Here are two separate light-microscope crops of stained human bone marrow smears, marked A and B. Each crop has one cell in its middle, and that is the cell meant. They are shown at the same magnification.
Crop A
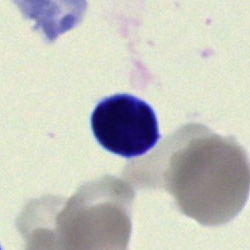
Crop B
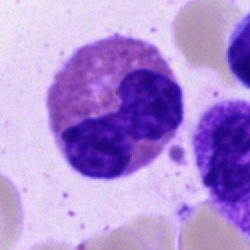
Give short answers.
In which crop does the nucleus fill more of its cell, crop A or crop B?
A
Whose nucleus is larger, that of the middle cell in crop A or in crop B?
B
